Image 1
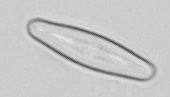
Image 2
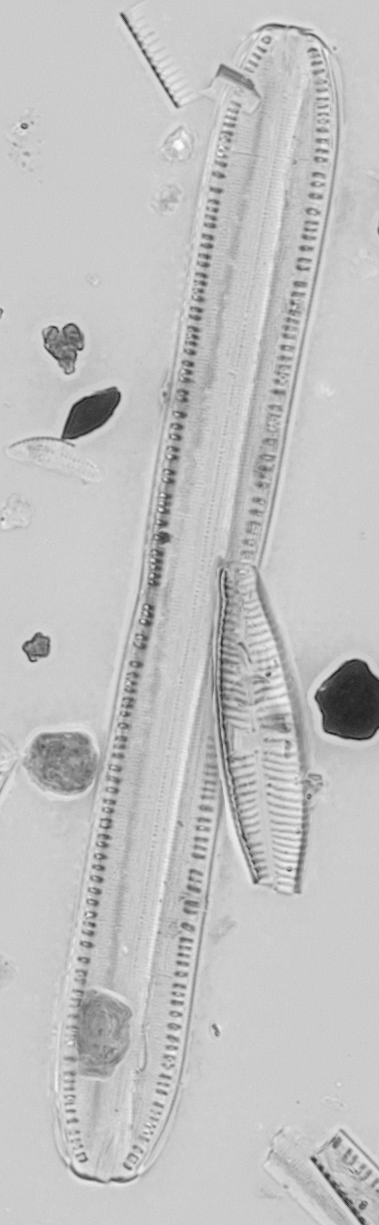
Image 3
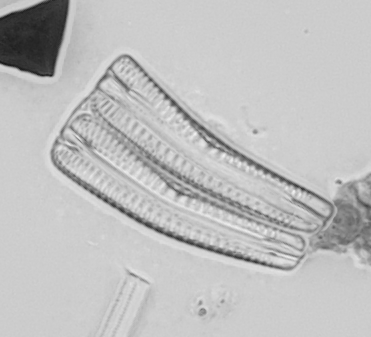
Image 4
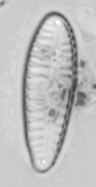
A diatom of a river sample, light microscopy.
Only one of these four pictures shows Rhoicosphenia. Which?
Picture 3.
